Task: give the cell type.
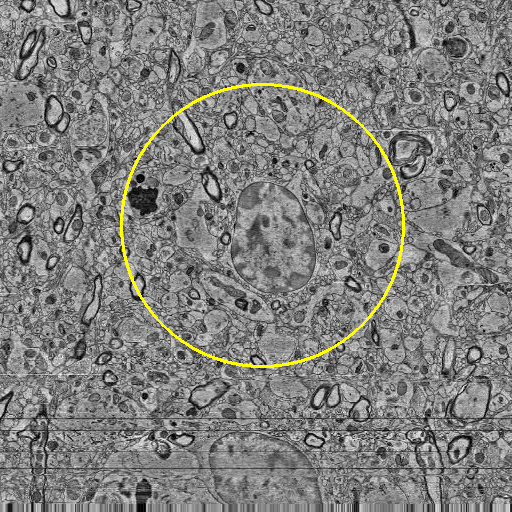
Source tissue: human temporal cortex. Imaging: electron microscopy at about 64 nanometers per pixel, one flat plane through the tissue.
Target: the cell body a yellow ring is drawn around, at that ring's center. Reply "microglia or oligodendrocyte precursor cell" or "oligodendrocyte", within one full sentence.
In this picture, the cell whose body lies at the ring's center is a microglial cell or oligodendrocyte precursor cell.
